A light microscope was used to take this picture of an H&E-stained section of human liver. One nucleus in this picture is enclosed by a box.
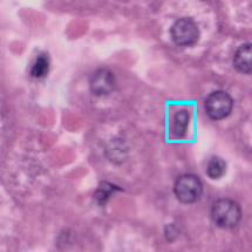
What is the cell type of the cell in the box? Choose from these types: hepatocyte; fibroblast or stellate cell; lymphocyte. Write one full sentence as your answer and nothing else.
The cell type of the cell in the box is that of a fibroblast or stellate cell.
